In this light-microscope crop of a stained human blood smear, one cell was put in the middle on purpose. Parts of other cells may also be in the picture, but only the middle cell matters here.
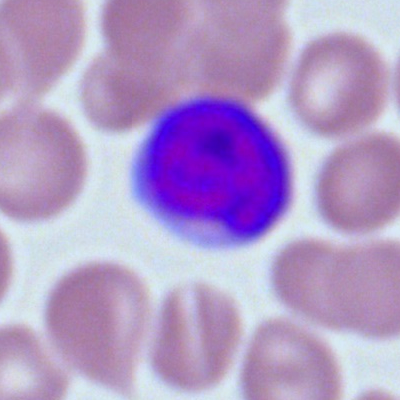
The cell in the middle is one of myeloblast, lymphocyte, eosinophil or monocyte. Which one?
lymphocyte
